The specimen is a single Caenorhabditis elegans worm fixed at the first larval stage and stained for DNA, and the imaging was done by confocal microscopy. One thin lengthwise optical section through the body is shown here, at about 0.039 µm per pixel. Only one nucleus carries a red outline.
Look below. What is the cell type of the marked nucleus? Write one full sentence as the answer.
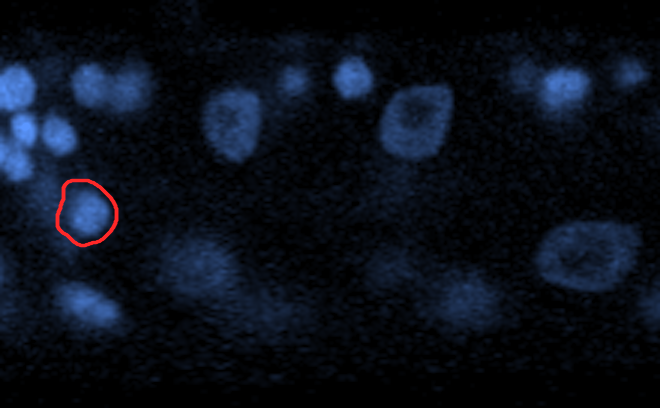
This is the nucleus of a valve cell of the gut.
